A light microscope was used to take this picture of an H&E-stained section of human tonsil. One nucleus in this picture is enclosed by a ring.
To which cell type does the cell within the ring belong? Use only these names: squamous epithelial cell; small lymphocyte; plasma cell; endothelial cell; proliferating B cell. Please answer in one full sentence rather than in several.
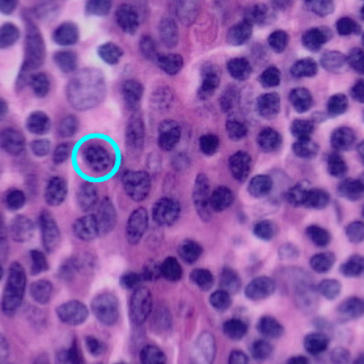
It is as a plasma cell that the cell within the ring is classified.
